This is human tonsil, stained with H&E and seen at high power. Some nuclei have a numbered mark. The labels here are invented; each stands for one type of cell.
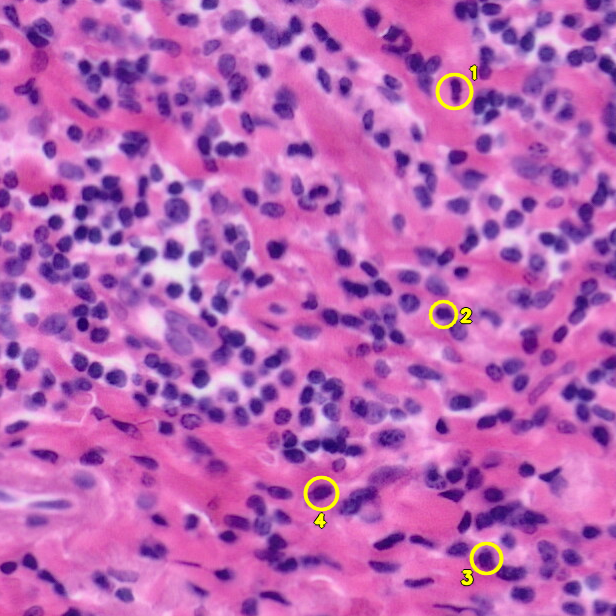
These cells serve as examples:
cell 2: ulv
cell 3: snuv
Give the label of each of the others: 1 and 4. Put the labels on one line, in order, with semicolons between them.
ulv; ulv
